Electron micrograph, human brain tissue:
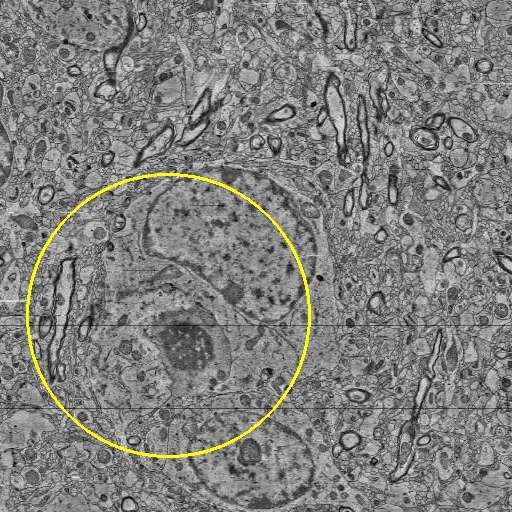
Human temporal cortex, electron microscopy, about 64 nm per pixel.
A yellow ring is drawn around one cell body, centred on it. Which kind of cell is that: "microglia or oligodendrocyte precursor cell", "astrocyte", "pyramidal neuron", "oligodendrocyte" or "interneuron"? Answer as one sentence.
It is an oligodendrocyte at the centre of the ring.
